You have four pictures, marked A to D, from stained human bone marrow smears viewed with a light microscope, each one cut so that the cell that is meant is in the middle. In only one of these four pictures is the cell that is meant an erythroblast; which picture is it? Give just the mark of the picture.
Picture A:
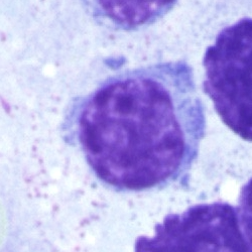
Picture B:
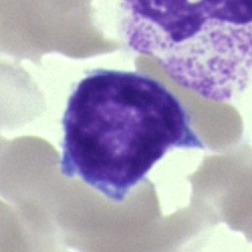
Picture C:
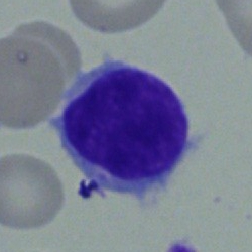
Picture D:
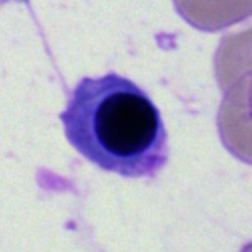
D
